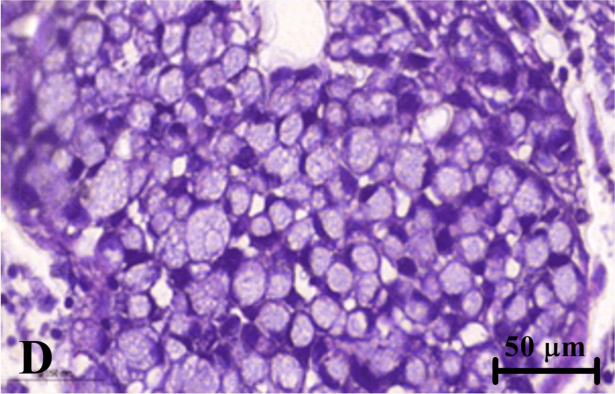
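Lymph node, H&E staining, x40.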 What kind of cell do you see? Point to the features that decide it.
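Signet ring cell. Many rounded cells with pale, finely vacuolated cytoplasm filling most of the cell. Dark nuclei pressed to the edge of the cells. Cells packed in a cluster with a thin fibrous border.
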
